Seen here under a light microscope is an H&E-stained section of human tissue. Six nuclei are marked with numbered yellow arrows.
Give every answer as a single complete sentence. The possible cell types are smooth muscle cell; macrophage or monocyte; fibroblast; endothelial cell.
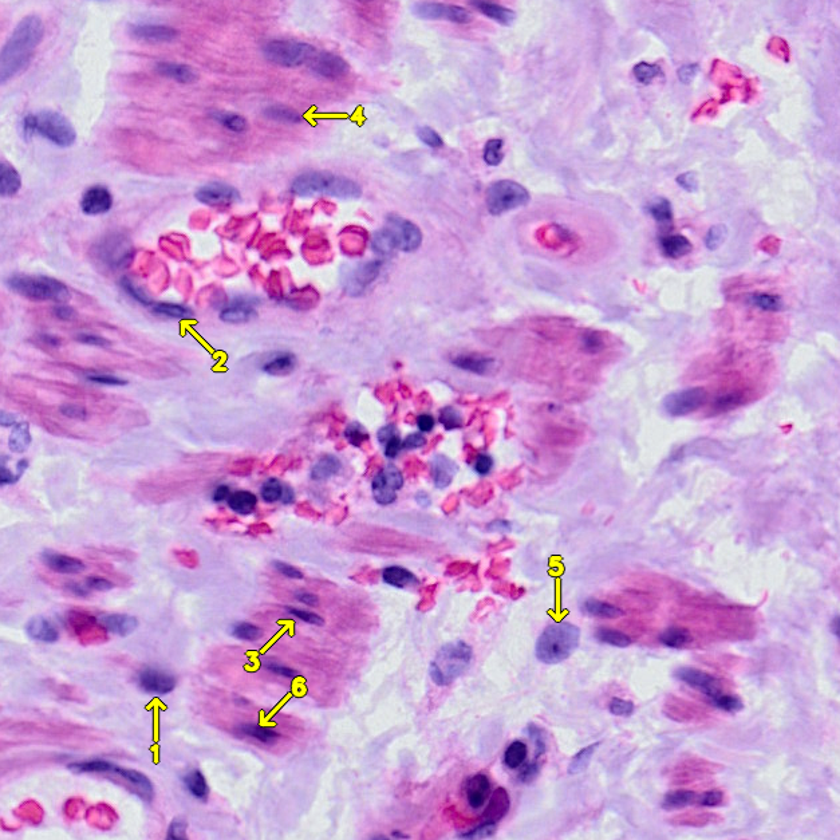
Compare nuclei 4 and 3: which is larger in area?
Nucleus 4 is the larger one, covering about 2.5 times the area of nucleus 3.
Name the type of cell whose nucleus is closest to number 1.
It is an endothelial cell whose nucleus is nearest to number 1.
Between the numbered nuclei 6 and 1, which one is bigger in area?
Number 1 is larger; its area is about 1.5 times that of number 6.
